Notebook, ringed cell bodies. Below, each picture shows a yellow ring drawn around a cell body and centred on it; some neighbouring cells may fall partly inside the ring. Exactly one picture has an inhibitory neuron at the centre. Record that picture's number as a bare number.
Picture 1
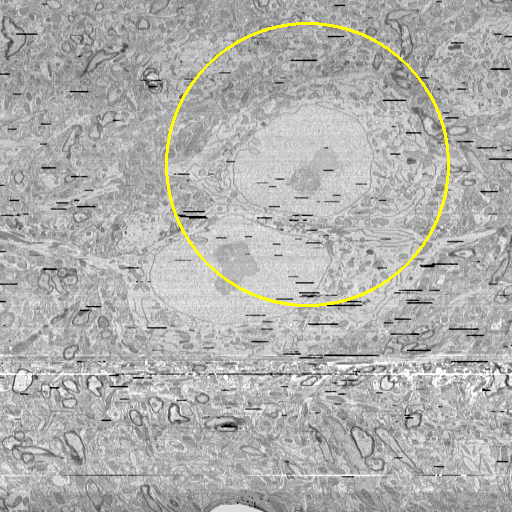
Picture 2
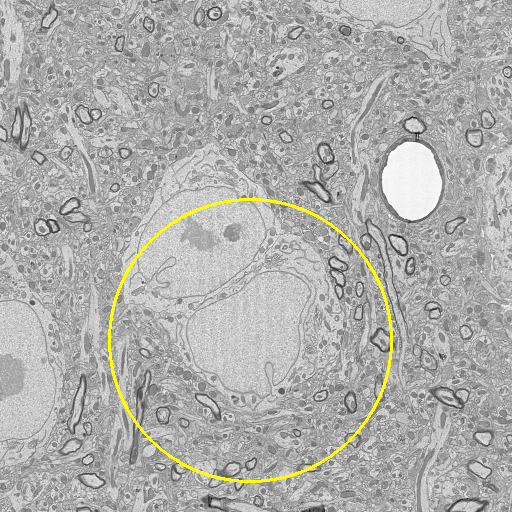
1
